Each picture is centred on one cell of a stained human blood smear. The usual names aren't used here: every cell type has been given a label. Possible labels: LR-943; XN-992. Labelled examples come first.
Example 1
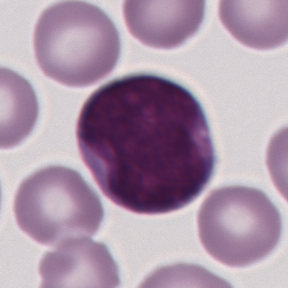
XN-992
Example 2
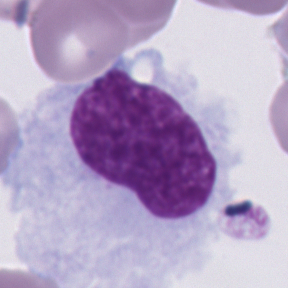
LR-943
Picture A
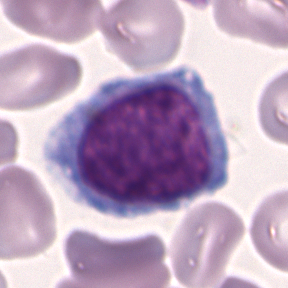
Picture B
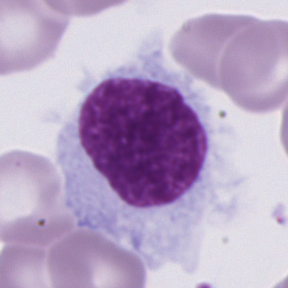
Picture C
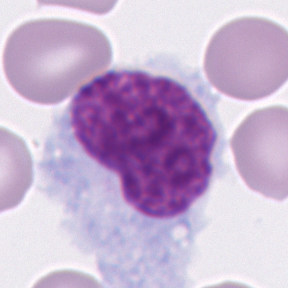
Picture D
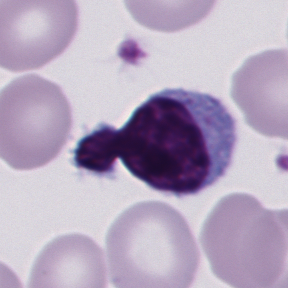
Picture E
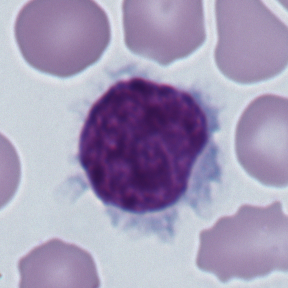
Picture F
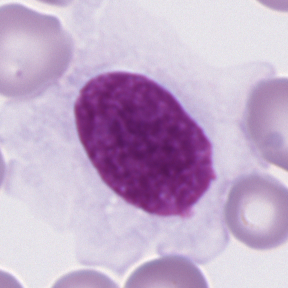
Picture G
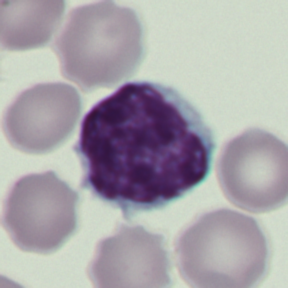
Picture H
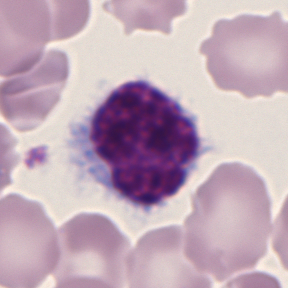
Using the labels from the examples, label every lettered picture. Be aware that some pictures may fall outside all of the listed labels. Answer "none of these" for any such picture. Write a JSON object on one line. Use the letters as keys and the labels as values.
{"A": "XN-992", "B": "LR-943", "C": "LR-943", "D": "none of these", "E": "LR-943", "F": "LR-943", "G": "none of these", "H": "LR-943"}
